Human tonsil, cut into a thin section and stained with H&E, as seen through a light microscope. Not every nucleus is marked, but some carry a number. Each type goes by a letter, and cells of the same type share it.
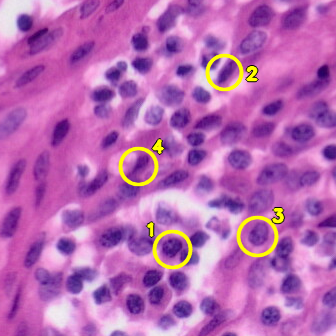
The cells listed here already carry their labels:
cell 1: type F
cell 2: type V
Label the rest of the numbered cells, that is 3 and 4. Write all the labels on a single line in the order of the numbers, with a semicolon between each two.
type V; type V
